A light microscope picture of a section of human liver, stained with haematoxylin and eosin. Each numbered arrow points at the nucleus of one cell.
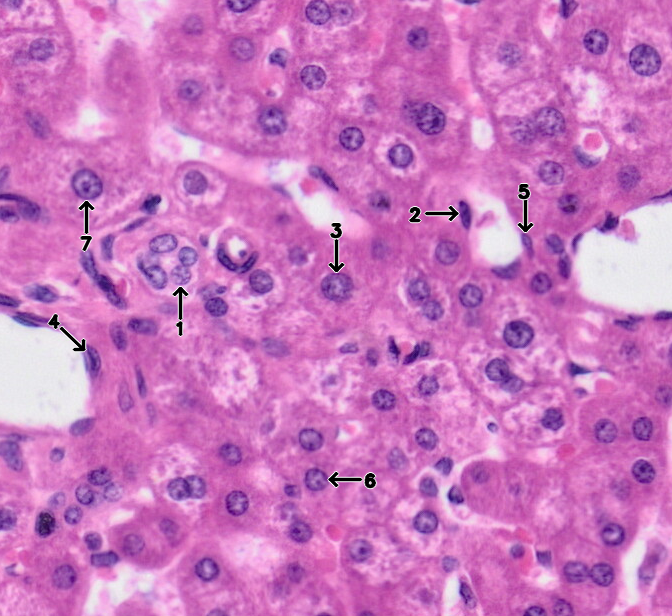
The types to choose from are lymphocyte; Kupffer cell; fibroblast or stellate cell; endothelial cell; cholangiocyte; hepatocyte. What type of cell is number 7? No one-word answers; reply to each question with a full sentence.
In this section, the cell tagged 7 is a hepatocyte.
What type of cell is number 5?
The nucleus marked 5 is the nucleus of a fibroblast or stellate cell.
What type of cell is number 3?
In the tissue shown, cell 3 is a hepatocyte.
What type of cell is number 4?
Within this field of view, the cell labelled 4 is a fibroblast or stellate cell.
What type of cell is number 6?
Here, the cell given the number 6 is a hepatocyte.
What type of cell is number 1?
The cell numbered 1 represents a cholangiocyte.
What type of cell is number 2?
The cell with the number 2 is a fibroblast or stellate cell.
